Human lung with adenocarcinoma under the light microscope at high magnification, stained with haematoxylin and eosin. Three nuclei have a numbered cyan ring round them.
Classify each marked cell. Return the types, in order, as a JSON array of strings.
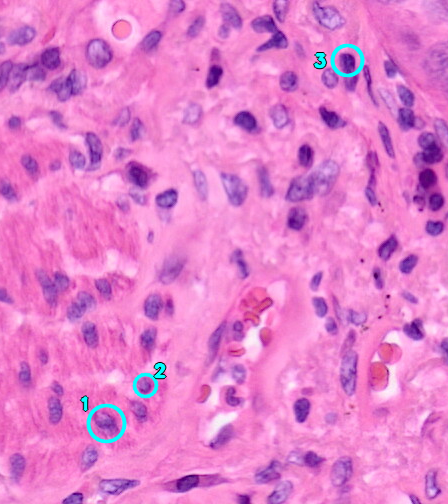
["smooth muscle cell or pericyte", "smooth muscle cell or pericyte", "lymphocyte"]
